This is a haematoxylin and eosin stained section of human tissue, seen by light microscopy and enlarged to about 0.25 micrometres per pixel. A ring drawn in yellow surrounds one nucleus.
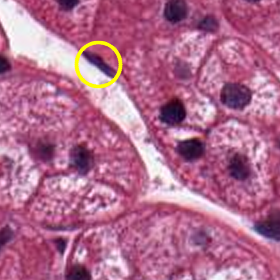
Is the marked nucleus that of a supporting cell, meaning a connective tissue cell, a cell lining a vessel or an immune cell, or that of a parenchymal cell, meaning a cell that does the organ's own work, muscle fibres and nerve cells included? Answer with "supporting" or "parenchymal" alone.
supporting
